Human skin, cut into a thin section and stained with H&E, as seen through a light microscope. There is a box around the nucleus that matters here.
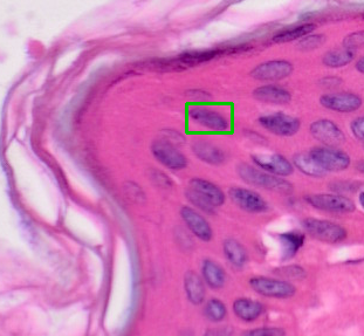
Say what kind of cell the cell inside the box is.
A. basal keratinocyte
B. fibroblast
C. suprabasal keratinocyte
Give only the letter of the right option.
C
